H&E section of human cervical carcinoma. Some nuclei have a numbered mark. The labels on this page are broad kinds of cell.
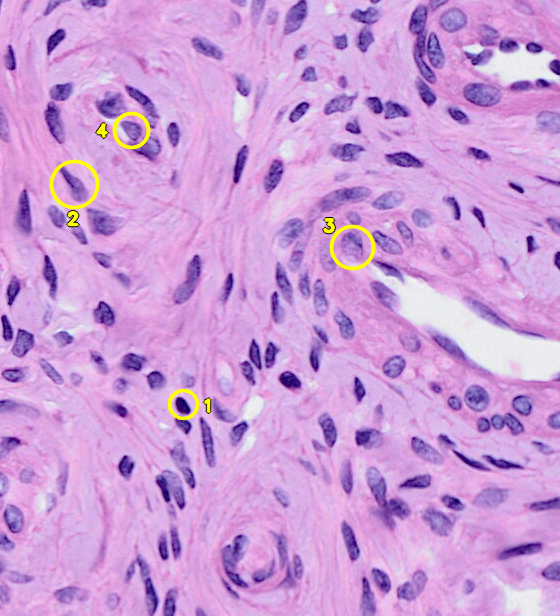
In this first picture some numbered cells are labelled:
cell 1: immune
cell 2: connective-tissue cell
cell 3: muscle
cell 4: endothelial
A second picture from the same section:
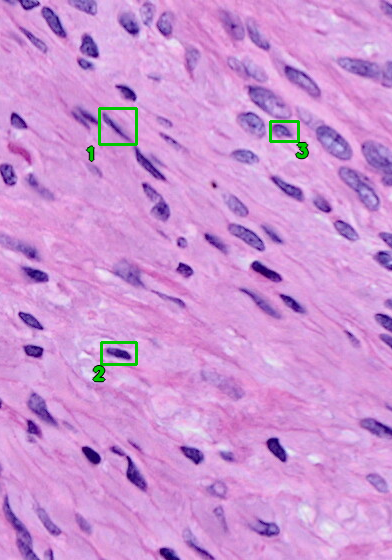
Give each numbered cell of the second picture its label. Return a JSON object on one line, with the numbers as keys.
{"1": "connective-tissue cell", "2": "immune", "3": "muscle"}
